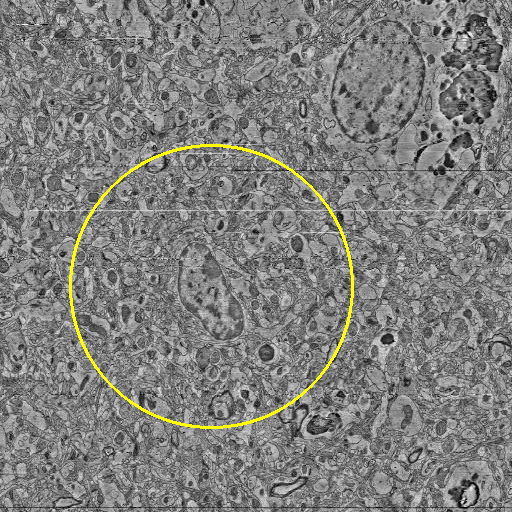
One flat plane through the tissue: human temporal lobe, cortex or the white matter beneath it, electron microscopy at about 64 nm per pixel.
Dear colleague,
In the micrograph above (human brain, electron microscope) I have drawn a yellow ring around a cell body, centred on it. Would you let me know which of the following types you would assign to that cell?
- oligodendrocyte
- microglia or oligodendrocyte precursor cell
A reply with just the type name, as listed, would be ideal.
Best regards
microglia or oligodendrocyte precursor cell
